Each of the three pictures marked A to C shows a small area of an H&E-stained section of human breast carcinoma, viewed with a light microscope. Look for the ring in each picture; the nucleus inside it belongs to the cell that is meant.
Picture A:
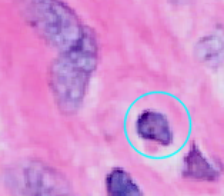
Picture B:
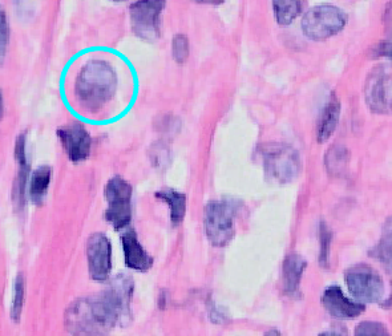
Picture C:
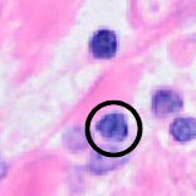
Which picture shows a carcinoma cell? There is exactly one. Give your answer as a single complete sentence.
The cell in picture B is the carcinoma cell.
